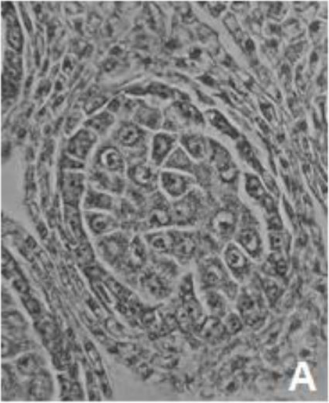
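A transverse section of an anther locule at the microspore mother cell stage, filled with a compact mass of large polygonal cells, each with a large round nucleus and a prominent nucleolus. The central mass is enclosed by several concentric layers of flattened wall cells.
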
